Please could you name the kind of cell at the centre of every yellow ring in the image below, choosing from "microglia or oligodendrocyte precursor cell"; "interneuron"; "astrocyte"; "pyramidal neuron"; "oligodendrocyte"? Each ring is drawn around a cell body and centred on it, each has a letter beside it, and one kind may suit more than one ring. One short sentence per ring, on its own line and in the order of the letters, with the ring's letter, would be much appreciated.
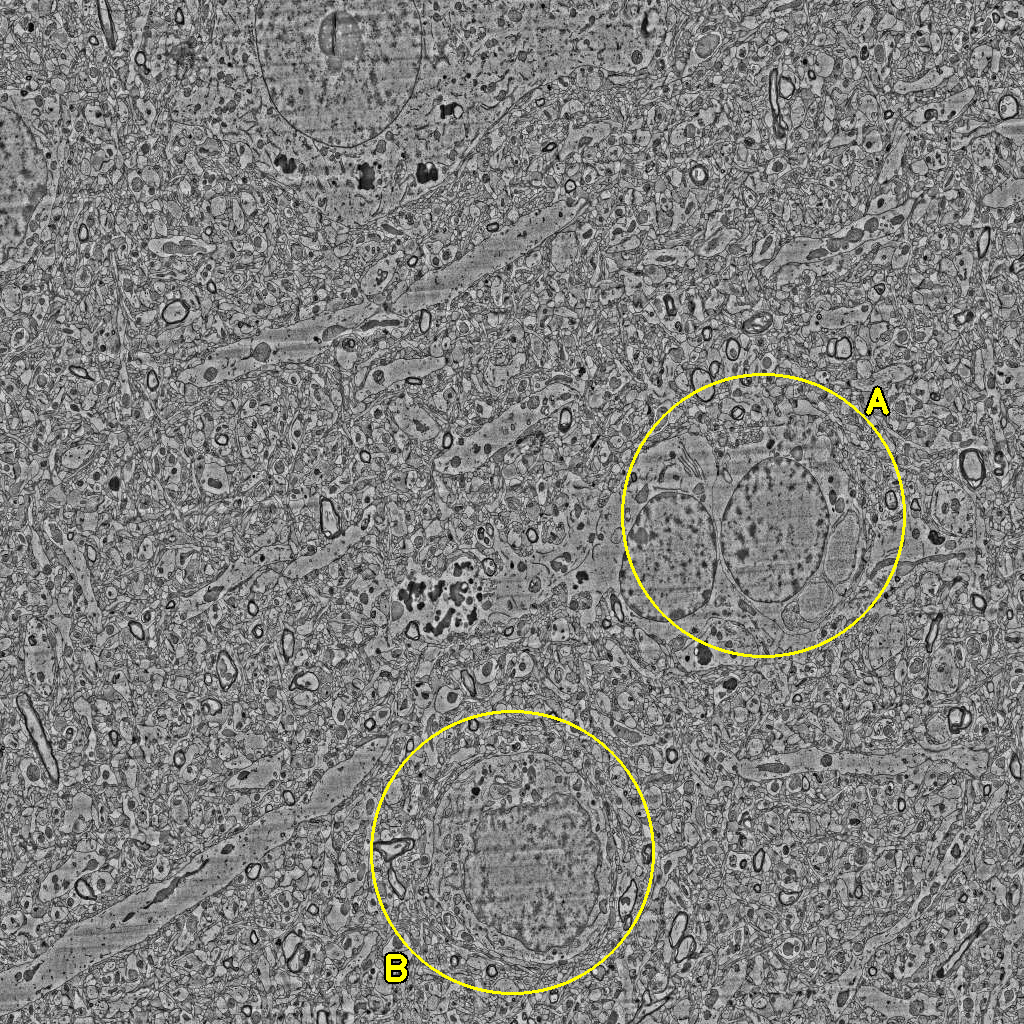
The cell in the middle of ring A is an astrocyte.
The cell in the middle of ring B is an interneuron.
